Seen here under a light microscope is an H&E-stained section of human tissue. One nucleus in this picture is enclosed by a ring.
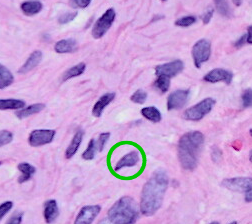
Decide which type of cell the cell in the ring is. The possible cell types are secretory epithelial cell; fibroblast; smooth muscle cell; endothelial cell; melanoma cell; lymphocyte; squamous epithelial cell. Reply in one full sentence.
The cell in the ring appears to be a fibroblast.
